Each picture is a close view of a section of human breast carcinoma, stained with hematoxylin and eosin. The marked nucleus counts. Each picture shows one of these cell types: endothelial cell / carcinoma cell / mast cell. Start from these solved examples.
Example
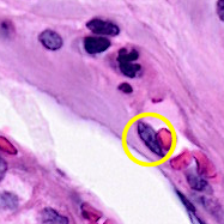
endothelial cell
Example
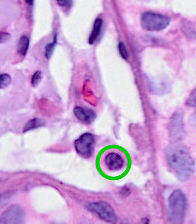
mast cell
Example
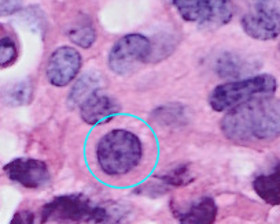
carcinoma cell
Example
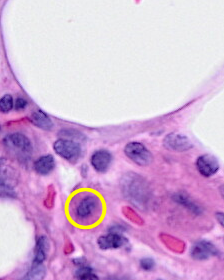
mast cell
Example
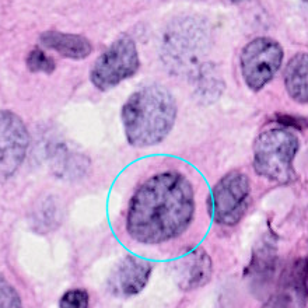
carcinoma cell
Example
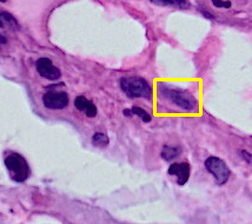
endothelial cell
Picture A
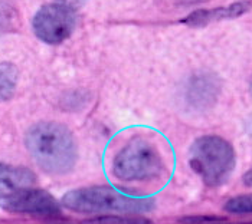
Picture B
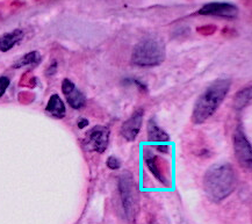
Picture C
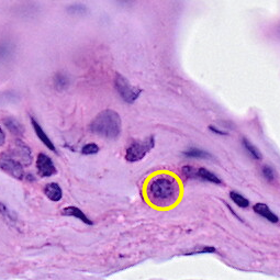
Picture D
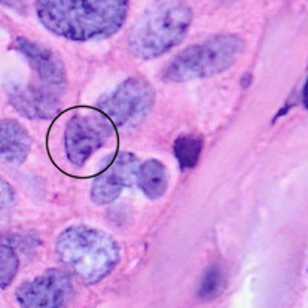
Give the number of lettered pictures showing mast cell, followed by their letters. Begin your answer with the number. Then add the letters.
1: C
